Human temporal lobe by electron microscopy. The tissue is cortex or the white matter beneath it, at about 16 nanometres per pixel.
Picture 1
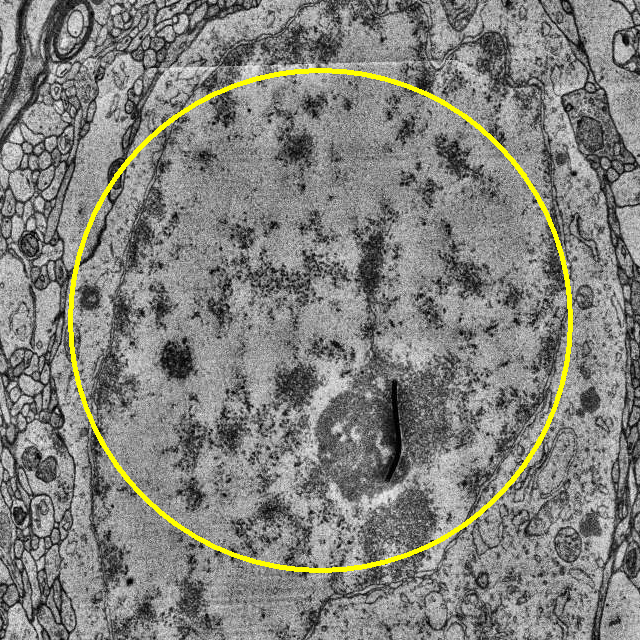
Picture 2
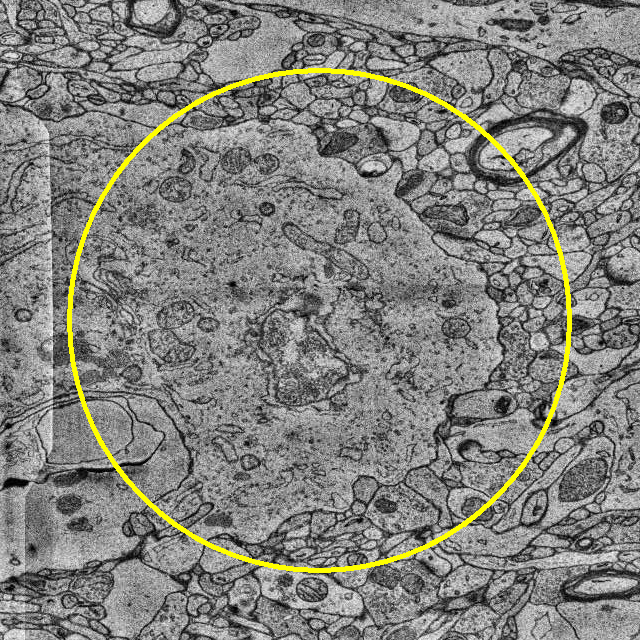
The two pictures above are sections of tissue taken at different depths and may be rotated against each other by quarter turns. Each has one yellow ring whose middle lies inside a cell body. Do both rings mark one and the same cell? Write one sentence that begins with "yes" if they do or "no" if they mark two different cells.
Yes, both marked profiles belong to the very same cell.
